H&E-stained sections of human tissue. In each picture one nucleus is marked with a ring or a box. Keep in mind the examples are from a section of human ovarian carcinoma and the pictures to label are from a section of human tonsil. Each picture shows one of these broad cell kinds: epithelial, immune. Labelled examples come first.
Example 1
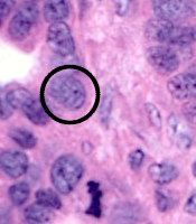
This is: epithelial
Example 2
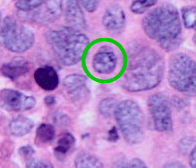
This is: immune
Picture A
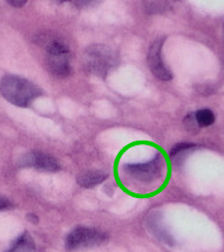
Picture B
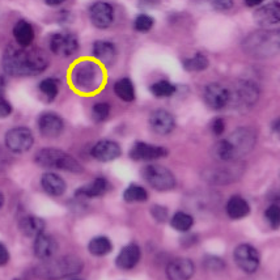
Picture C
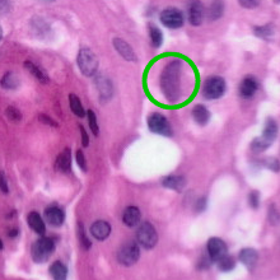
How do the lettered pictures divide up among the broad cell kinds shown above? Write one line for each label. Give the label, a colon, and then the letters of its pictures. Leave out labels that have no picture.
epithelial: A, C
immune: B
